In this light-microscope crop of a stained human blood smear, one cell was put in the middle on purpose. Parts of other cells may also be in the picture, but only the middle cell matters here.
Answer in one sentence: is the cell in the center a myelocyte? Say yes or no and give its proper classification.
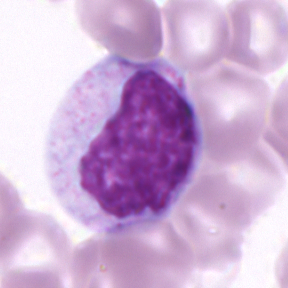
Yes, the middle cell in this crop is a myelocyte.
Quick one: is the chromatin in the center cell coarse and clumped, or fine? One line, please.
The nucleus shows chromatin that is coarsely clumped.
